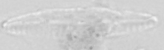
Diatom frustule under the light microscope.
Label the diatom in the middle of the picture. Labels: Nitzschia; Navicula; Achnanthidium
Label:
Navicula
